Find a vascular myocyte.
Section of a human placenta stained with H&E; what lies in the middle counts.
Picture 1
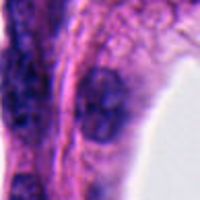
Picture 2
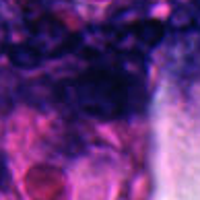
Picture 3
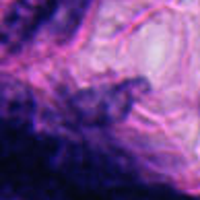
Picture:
1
